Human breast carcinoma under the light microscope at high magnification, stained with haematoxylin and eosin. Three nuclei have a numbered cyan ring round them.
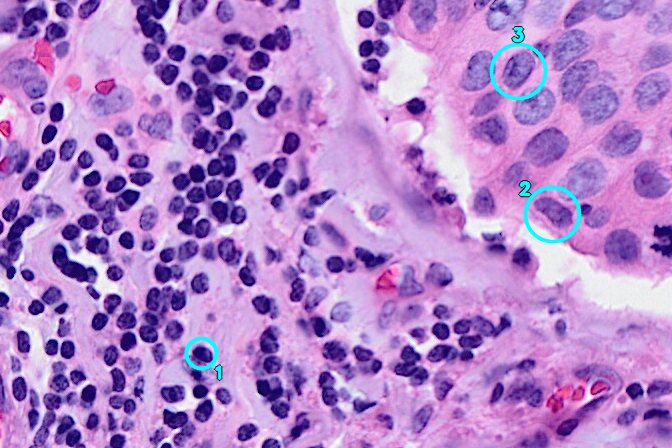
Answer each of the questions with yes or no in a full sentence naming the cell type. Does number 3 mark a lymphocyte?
No, the cell given number 3 is a carcinoma cell, not a lymphocyte.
